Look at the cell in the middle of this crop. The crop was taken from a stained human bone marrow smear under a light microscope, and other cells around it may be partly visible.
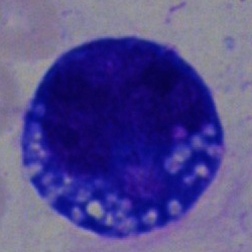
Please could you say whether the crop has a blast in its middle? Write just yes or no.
yes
